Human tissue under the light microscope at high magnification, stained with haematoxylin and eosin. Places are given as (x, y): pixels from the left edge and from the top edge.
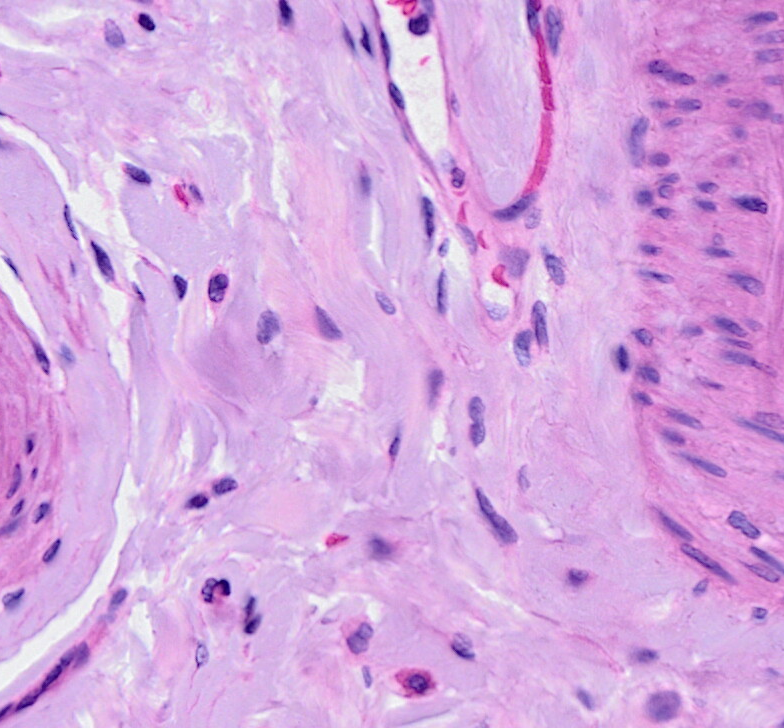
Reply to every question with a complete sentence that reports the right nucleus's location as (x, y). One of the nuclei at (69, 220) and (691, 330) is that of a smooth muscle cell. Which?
As for which of the two, the nucleus at (691, 330) belongs to a smooth muscle cell.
